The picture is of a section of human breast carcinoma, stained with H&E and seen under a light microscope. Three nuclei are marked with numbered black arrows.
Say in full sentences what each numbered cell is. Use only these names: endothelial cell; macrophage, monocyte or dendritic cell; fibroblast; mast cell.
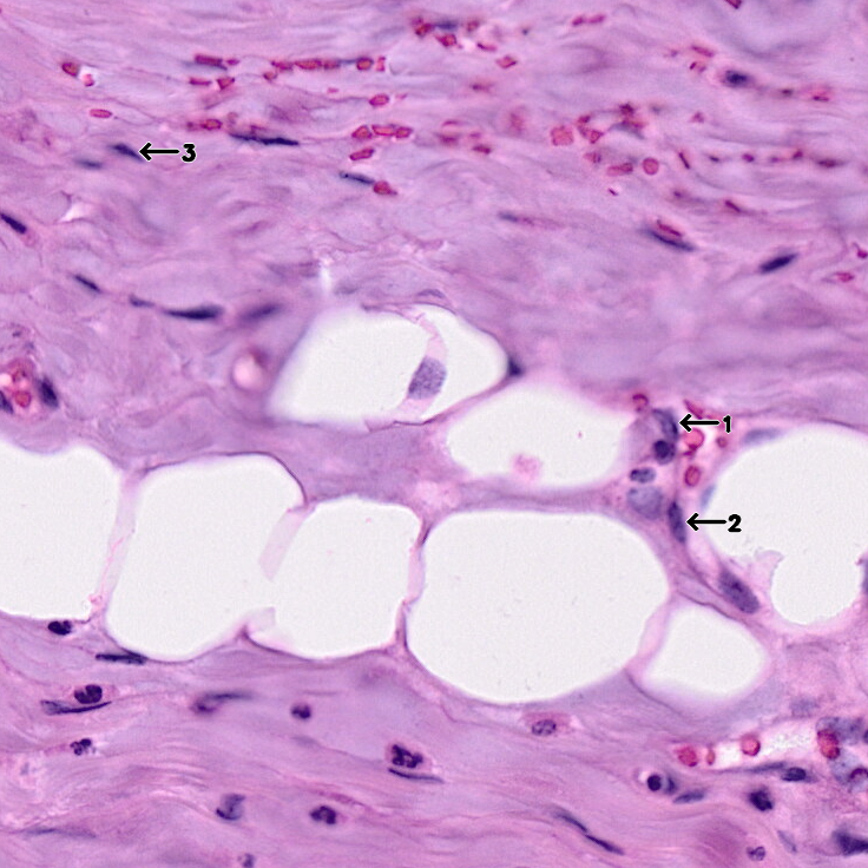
Cell 1 is an endothelial cell, cell 2 is an endothelial cell and cell 3 is a fibroblast.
